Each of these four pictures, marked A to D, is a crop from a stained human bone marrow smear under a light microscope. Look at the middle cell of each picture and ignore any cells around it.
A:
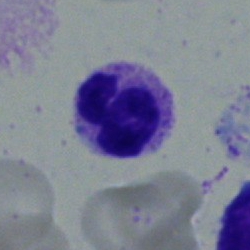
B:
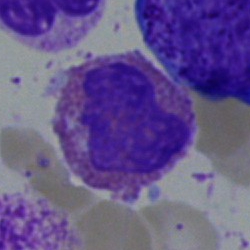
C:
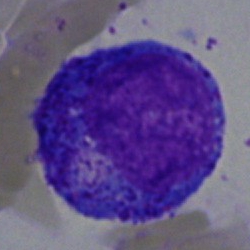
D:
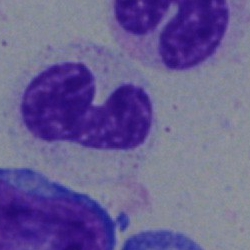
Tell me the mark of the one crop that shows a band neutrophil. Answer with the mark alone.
D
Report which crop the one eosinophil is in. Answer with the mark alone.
B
